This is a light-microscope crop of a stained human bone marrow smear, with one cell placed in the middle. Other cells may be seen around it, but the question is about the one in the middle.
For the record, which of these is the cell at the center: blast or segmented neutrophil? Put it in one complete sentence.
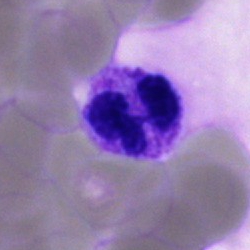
The single cell at the center of the crop is a segmented neutrophil.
